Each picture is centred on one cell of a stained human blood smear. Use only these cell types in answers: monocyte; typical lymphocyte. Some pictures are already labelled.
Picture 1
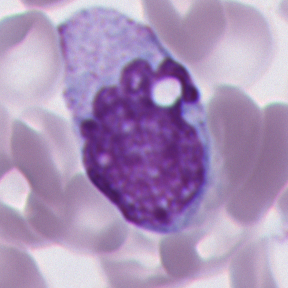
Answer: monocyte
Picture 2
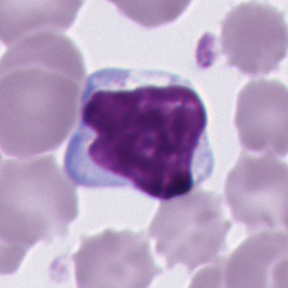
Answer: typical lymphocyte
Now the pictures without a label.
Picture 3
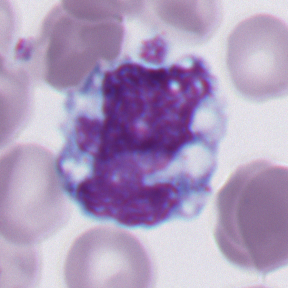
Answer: monocyte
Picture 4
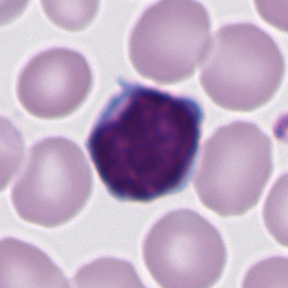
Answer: typical lymphocyte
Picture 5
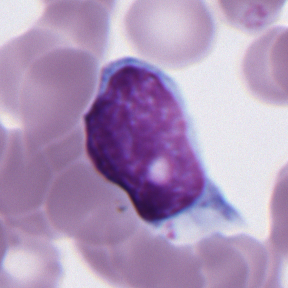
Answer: typical lymphocyte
